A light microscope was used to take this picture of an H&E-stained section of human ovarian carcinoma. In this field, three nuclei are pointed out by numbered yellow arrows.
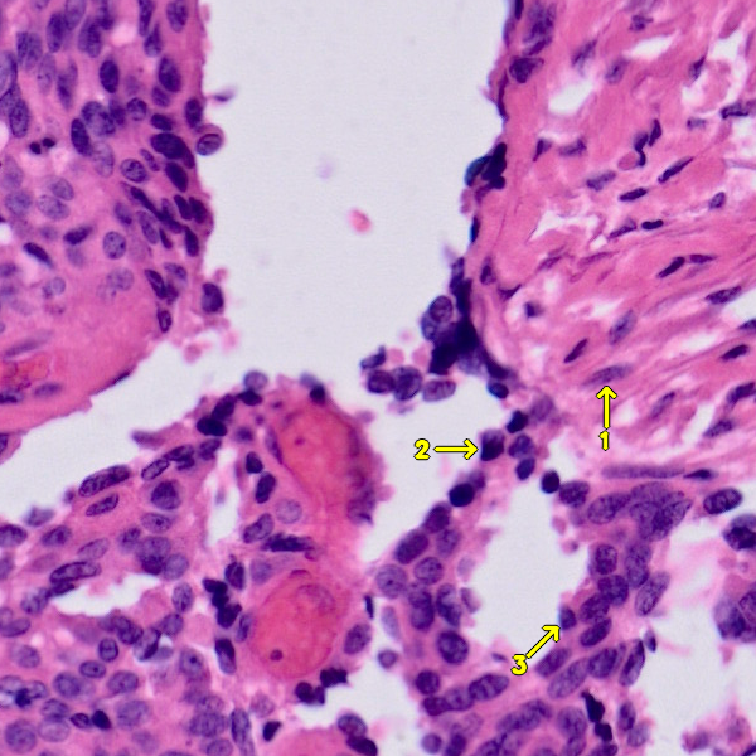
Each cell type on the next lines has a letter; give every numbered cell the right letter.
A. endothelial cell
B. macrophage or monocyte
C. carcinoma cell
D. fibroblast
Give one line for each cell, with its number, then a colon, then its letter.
1: D
2: C
3: C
